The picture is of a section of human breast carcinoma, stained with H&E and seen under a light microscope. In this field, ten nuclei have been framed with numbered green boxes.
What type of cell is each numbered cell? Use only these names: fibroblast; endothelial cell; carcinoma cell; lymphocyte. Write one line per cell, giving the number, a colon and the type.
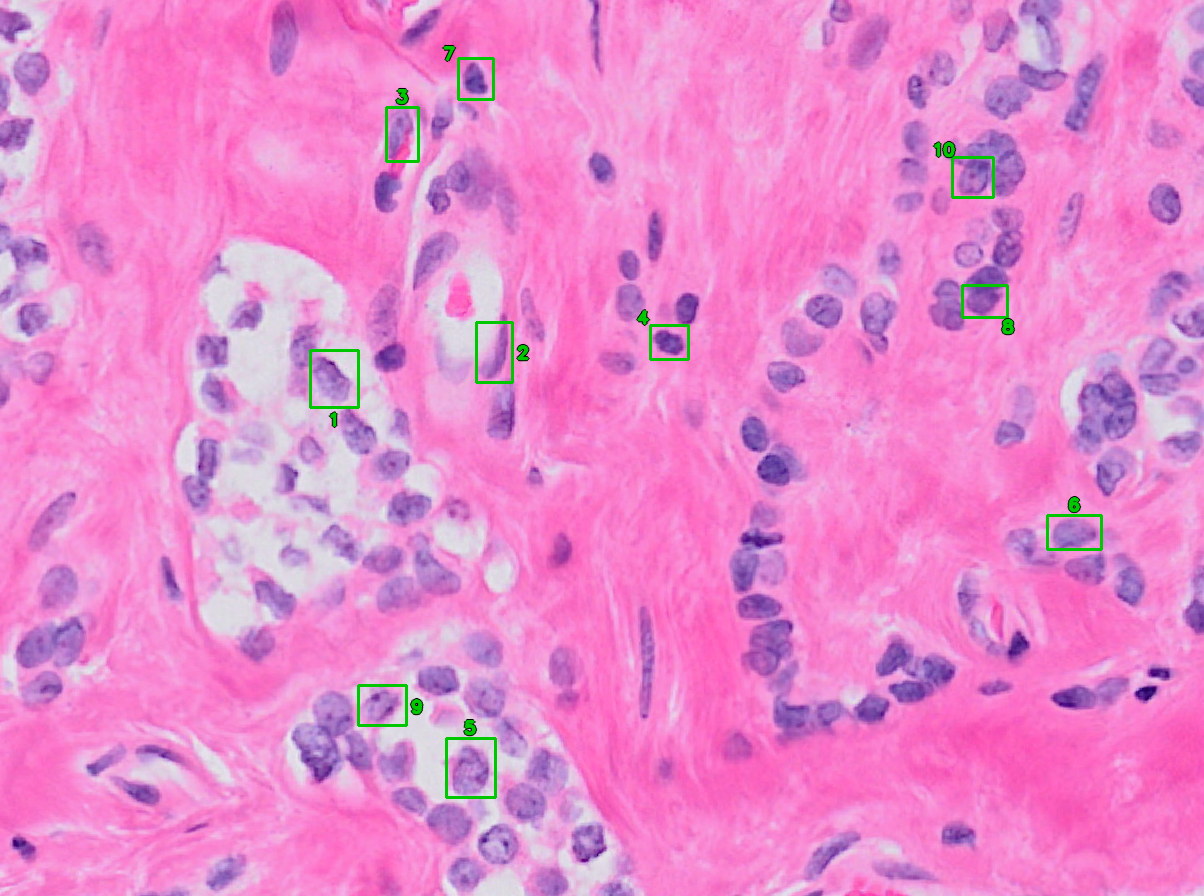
1: carcinoma cell
2: endothelial cell
3: endothelial cell
4: lymphocyte
5: carcinoma cell
6: carcinoma cell
7: lymphocyte
8: carcinoma cell
9: carcinoma cell
10: carcinoma cell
